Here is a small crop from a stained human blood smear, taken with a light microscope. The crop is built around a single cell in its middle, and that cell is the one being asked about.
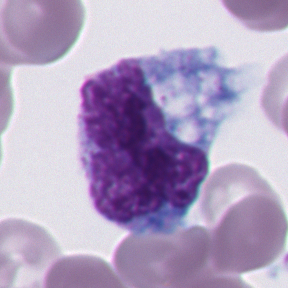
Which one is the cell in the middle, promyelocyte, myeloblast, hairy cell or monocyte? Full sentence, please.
The target cell in the middle of the crop is a monocyte.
